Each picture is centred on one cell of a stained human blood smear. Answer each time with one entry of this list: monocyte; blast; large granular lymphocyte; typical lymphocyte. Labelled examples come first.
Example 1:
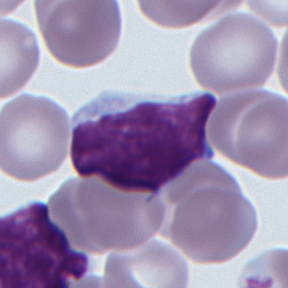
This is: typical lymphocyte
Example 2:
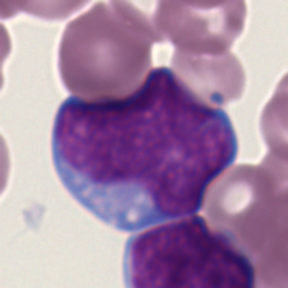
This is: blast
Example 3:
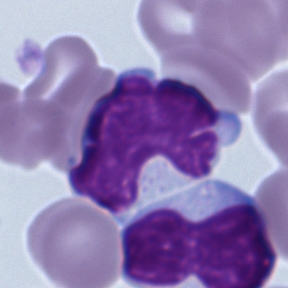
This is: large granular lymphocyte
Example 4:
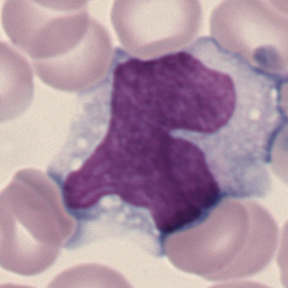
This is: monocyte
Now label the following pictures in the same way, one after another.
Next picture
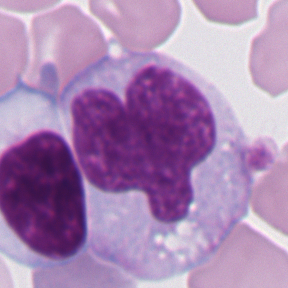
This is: monocyte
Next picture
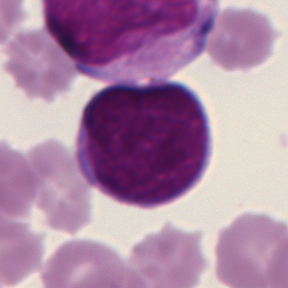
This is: blast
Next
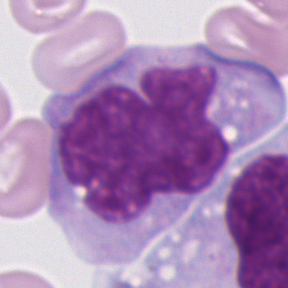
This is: monocyte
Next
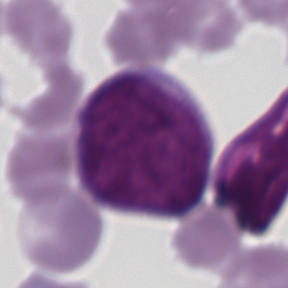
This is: blast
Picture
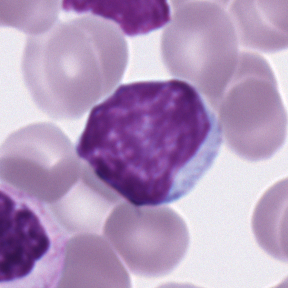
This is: typical lymphocyte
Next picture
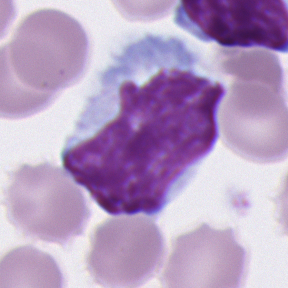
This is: typical lymphocyte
